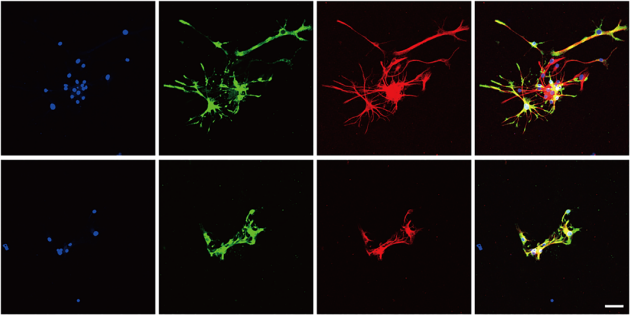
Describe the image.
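Cultured oligodendrocytes are shown in two rows of four fields: blue nuclei, green cells, red stain and a merge. In the upper row a group of cells with small rounded blue nuclei sends out many long, thin processes that branch repeatedly. The red stain fills a dense, finely branched web of processes radiating from the cell bodies. In the merge, green and red overlap as yellow over the cell bodies and main processes. In the lower row the blue nuclei are more sparse, and the green and red cells form a smaller cluster. Their processes are short and thick, with little fine branching and no wide web.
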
